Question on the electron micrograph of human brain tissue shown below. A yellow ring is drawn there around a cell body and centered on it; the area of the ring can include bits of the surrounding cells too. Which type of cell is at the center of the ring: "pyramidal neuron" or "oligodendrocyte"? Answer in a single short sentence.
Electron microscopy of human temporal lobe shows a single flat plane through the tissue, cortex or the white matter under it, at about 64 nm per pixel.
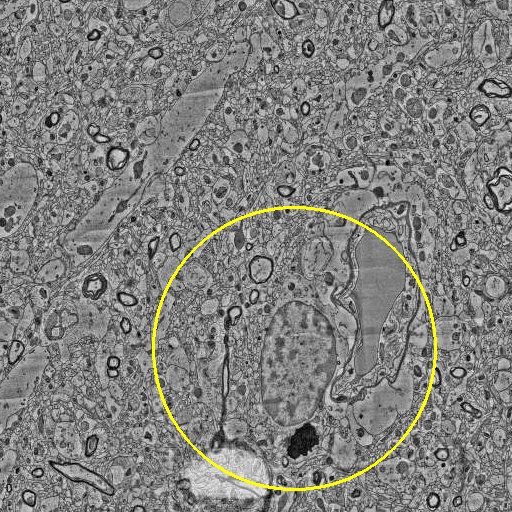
The ring is centered on an oligodendrocyte.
